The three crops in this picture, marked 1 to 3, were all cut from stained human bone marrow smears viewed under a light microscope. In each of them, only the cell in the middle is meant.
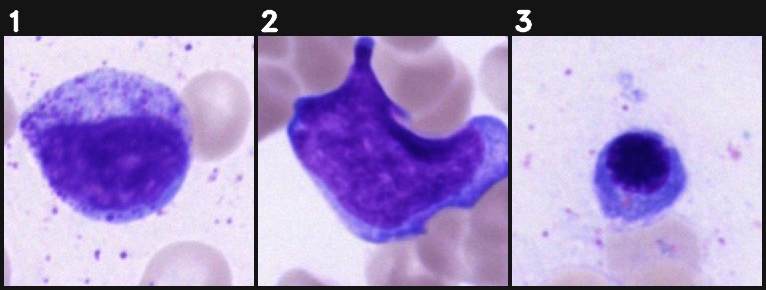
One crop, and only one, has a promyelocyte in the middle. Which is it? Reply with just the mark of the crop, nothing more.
1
